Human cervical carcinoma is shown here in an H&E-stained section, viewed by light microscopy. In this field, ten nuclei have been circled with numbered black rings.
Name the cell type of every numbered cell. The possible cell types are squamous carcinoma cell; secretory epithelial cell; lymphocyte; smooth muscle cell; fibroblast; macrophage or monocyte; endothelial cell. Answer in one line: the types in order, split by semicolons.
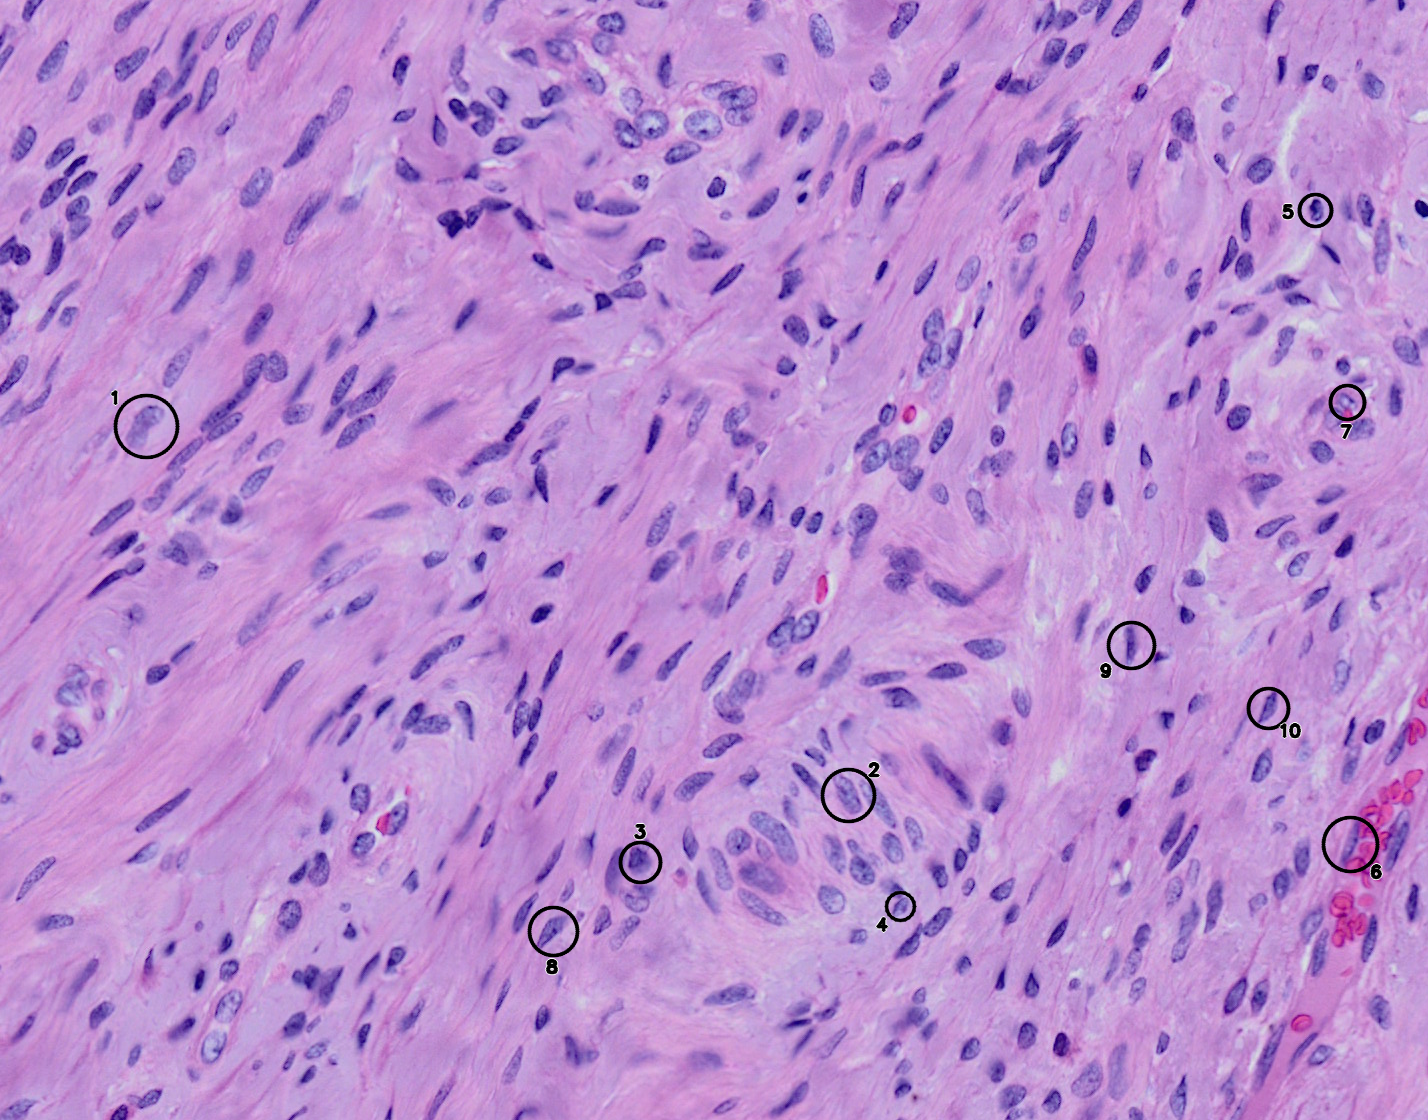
fibroblast; smooth muscle cell; fibroblast; fibroblast; lymphocyte; endothelial cell; endothelial cell; fibroblast; fibroblast; fibroblast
